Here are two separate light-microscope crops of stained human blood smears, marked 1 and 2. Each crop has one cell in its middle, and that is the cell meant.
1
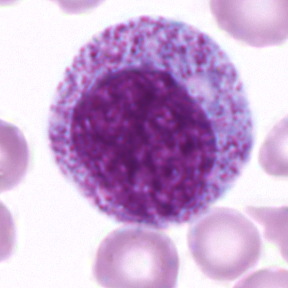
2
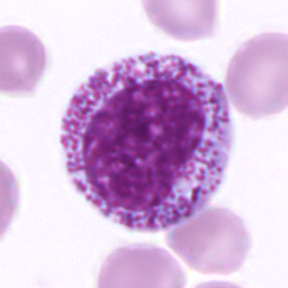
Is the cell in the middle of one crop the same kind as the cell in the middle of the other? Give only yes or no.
no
